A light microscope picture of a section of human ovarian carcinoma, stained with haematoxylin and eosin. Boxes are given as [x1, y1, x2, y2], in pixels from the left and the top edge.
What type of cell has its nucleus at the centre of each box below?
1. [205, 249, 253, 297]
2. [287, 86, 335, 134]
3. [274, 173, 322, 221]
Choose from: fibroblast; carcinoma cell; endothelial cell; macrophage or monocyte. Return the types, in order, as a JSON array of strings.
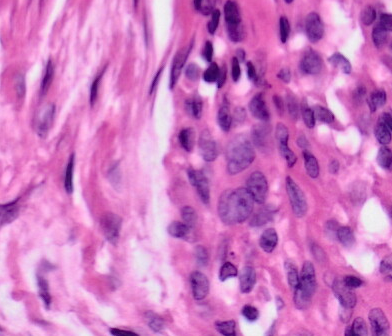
["carcinoma cell", "carcinoma cell", "endothelial cell"]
